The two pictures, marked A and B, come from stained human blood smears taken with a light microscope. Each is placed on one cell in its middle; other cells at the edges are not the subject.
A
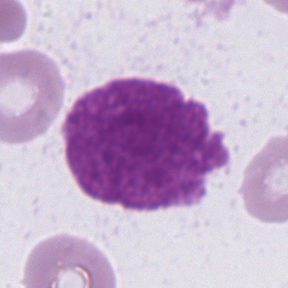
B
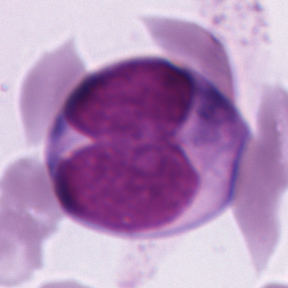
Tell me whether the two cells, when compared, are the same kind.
no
